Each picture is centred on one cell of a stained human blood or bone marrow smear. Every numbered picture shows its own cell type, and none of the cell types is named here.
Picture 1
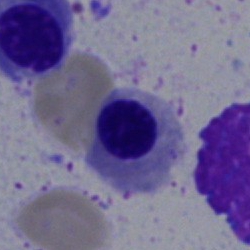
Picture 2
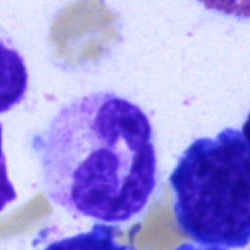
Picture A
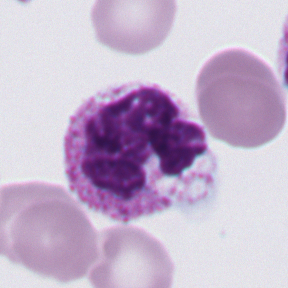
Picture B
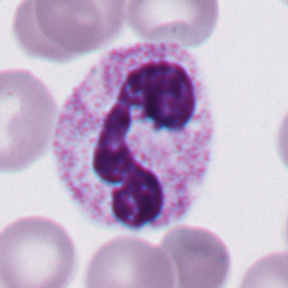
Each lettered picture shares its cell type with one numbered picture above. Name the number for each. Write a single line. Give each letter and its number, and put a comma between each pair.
A 2, B 2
